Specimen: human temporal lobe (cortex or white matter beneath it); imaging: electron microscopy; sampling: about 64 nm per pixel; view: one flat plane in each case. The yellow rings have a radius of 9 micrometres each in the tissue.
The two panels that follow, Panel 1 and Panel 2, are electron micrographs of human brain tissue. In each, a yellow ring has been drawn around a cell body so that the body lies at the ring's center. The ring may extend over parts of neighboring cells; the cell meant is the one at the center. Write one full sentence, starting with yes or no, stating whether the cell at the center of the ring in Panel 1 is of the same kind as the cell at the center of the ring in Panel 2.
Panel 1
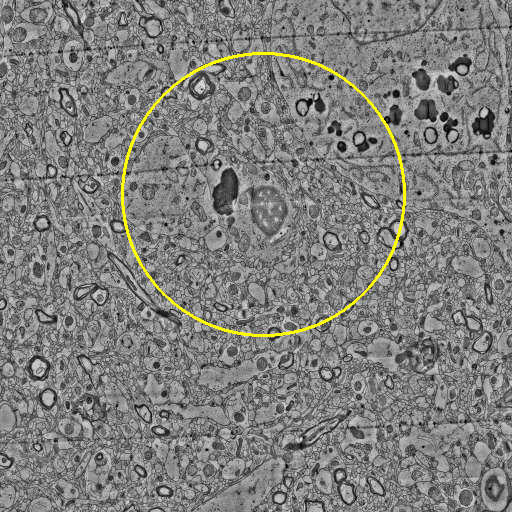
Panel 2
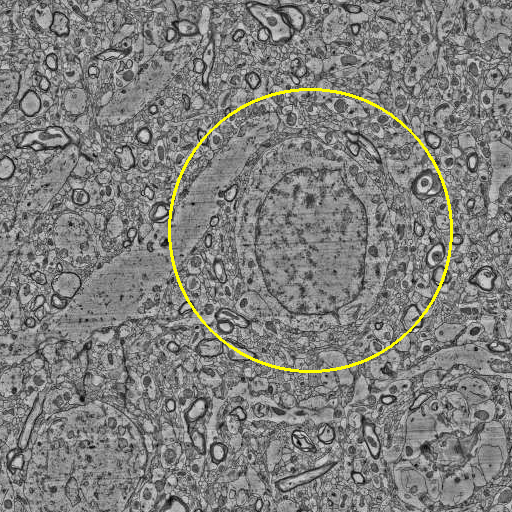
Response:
No, the cells in the two panels are of two kinds.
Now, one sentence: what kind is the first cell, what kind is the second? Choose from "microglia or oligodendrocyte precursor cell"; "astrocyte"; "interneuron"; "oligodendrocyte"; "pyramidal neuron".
The first picture has an oligodendrocyte at its ring centre, and the second has an interneuron.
